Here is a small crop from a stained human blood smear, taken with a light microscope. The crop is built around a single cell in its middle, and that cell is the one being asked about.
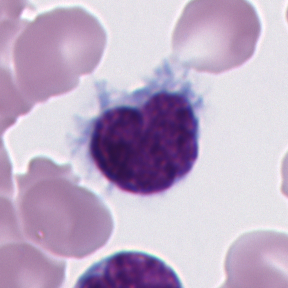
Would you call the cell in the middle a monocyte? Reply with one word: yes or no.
no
